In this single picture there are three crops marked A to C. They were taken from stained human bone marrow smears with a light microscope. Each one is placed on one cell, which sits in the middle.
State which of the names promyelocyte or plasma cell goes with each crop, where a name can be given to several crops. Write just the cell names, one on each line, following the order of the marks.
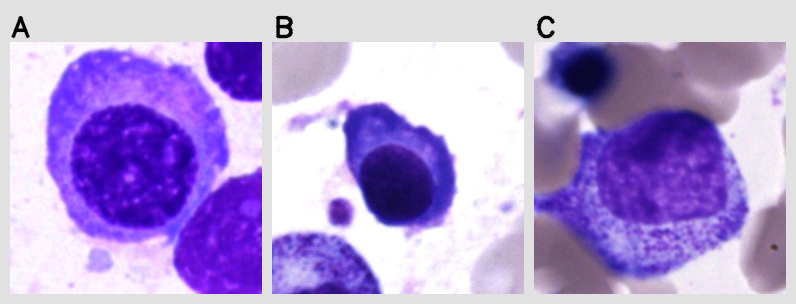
plasma cell
plasma cell
promyelocyte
